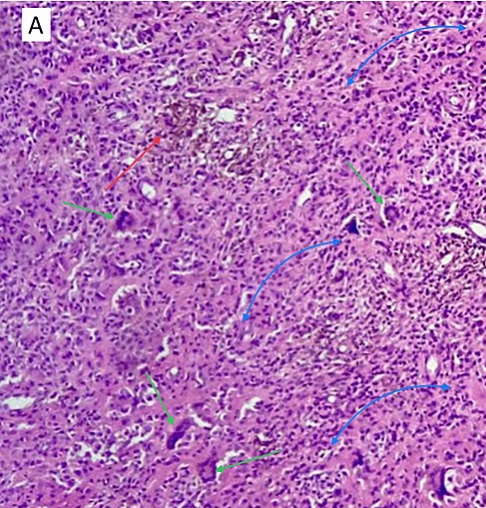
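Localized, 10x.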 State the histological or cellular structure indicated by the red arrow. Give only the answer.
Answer: Hemosiderin deposits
